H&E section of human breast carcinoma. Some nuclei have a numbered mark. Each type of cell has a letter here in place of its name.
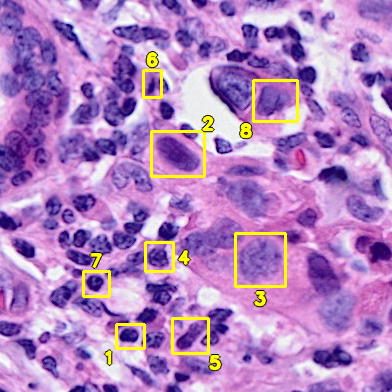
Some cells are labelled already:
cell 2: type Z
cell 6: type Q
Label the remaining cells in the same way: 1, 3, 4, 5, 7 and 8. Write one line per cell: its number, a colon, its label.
1: type Q
3: type Z
4: type Q
5: type Q
7: type Q
8: type Z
